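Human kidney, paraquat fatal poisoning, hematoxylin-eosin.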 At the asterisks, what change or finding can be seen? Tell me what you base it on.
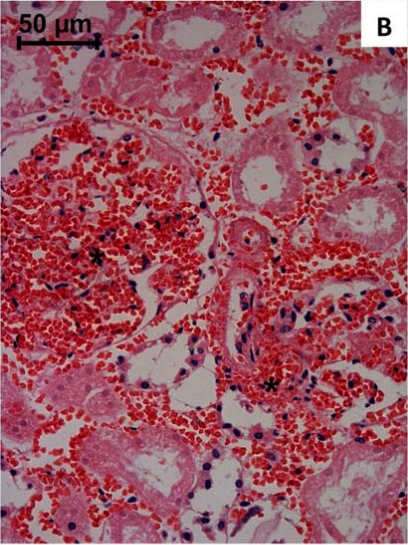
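Vascular congestion. Dense masses of red blood cells fill the spaces between tubules. The asterisks lie on these red-cell masses.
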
